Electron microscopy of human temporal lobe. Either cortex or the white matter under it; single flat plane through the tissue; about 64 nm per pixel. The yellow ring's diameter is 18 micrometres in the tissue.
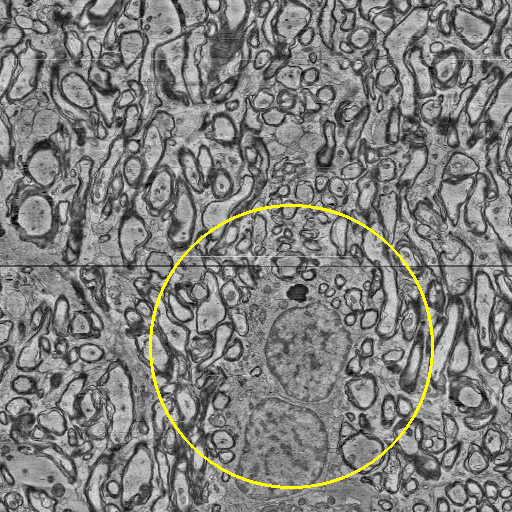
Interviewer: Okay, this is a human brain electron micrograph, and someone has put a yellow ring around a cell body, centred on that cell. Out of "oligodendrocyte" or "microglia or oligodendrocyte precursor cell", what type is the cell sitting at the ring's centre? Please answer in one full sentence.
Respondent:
The cell at the centre of the yellow ring in this picture is an oligodendrocyte.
